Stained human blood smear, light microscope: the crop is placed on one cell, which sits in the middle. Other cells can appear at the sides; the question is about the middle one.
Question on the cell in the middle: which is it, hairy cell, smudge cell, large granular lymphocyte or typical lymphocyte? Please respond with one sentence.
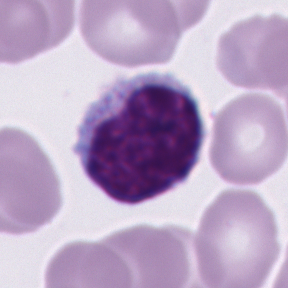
The centrally placed cell is classified as a typical lymphocyte.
